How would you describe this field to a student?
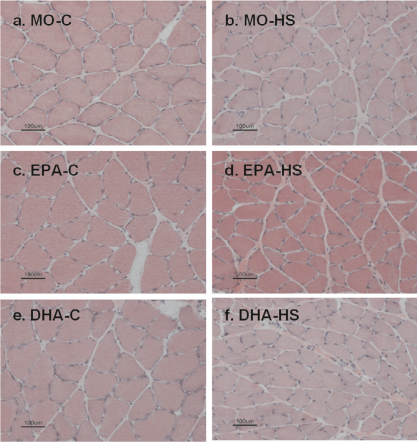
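Cross-sectioned skeletal muscle fibres in six fields, stained pink with purple nuclei. The fibres are polygonal and closely packed, separated by thin pale interstitial spaces. Small dark nuclei sit at the fibre periphery, not in the centre. In the right-hand fields the fibres look smaller and more densely packed than in the left-hand fields.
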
